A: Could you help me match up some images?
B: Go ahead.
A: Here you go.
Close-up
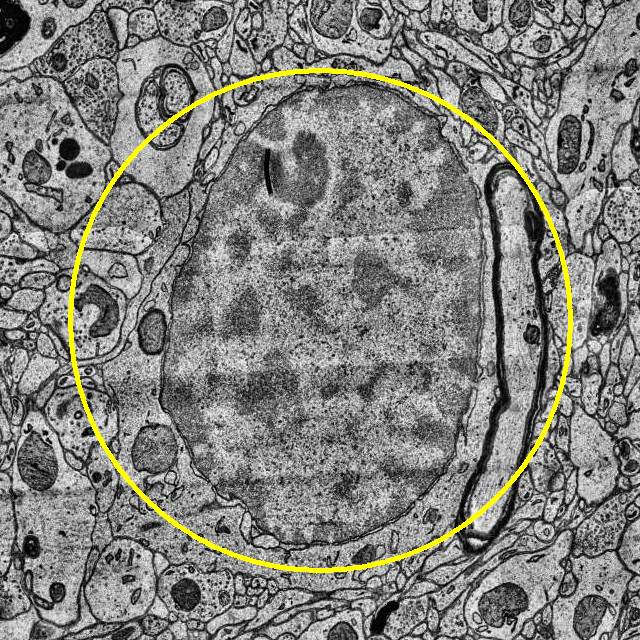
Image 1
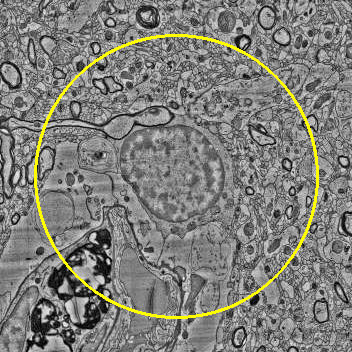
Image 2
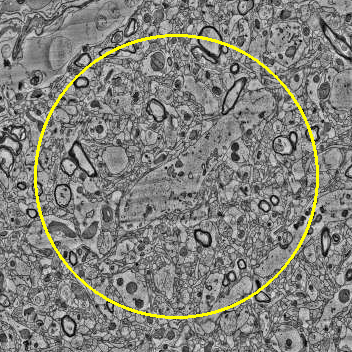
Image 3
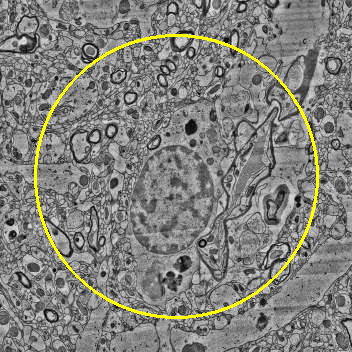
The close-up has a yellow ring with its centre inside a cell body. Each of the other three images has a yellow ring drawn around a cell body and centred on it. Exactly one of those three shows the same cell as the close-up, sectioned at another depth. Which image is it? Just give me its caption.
Image 2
